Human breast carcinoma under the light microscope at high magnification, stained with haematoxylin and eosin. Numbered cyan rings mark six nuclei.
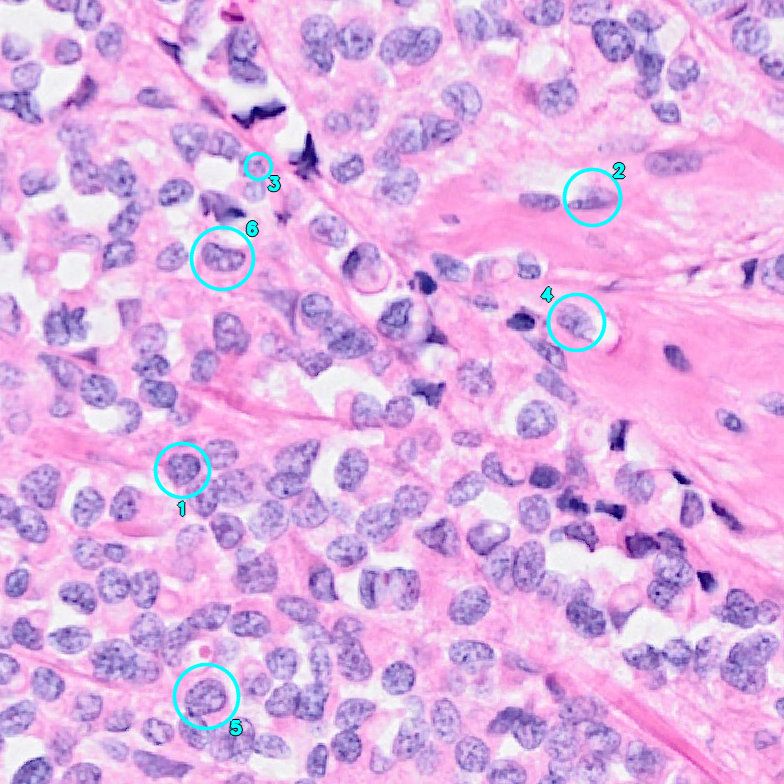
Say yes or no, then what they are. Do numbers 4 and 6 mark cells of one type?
No, that's off: cell 4 is an endothelial cell and cell 6 is a carcinoma cell.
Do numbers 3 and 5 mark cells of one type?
Yes, that is correct, cells 3 and 5 are both carcinoma cells.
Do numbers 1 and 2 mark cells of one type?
No, cell 1 is a carcinoma cell, and cell 2 is, by contrast, an endothelial cell.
